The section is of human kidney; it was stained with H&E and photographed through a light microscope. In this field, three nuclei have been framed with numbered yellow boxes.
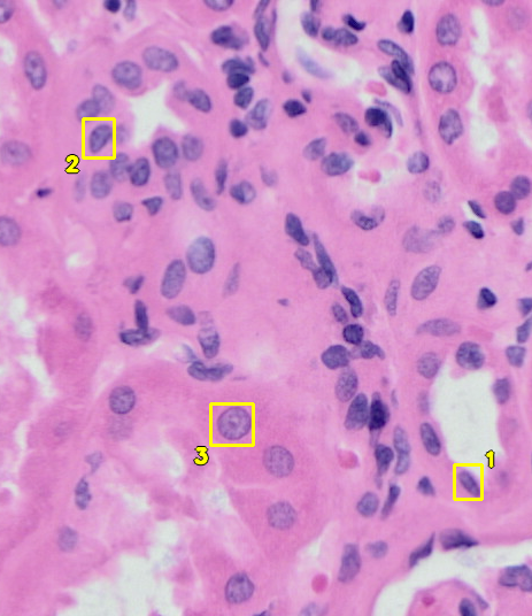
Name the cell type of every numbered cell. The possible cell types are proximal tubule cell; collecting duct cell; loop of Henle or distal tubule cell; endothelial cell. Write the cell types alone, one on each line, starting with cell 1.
loop of Henle or distal tubule cell
collecting duct cell
proximal tubule cell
